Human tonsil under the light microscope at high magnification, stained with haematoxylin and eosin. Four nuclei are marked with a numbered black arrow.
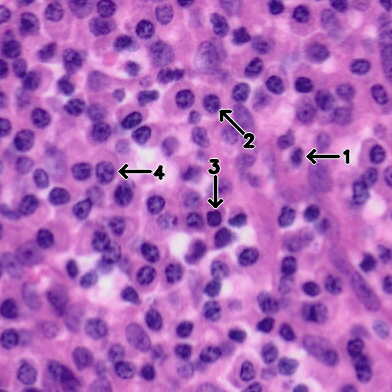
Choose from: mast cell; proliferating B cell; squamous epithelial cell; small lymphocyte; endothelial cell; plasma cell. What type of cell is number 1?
squamous epithelial cell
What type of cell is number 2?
plasma cell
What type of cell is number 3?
plasma cell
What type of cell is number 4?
plasma cell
